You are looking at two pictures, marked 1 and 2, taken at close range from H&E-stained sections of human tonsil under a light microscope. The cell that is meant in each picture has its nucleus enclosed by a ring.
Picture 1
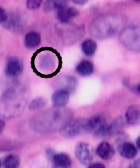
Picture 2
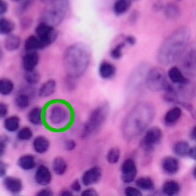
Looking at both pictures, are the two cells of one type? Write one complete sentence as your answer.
Yes, both cells are endothelial cells.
